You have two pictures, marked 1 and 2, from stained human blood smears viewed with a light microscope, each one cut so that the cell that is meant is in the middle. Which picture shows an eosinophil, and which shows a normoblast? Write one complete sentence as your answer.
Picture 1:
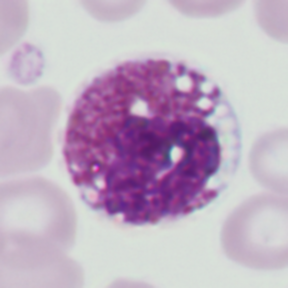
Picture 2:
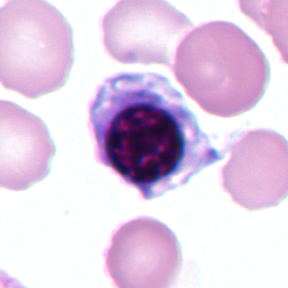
Picture 1 is of an eosinophil, and picture 2 is of a normoblast.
